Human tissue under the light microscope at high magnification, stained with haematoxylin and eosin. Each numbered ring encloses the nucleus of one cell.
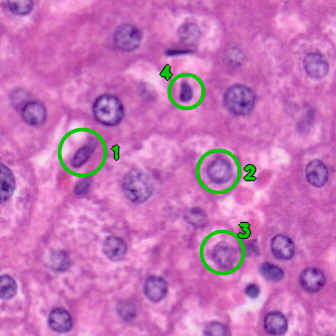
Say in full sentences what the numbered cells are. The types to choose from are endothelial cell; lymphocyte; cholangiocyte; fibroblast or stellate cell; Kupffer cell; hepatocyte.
Cell 1 is a Kupffer cell, cell 2 is a hepatocyte, cell 3 is a hepatocyte and cell 4 is a lymphocyte.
